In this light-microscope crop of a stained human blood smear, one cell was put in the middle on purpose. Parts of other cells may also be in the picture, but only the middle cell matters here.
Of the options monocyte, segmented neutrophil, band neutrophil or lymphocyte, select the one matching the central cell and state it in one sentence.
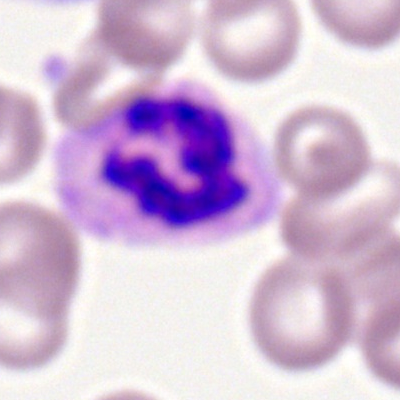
In the middle of this smear crop is a segmented neutrophil.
